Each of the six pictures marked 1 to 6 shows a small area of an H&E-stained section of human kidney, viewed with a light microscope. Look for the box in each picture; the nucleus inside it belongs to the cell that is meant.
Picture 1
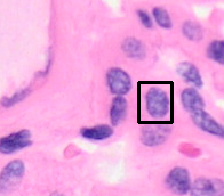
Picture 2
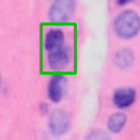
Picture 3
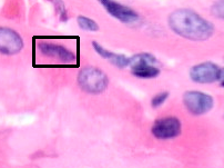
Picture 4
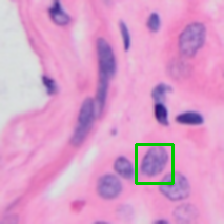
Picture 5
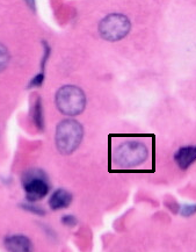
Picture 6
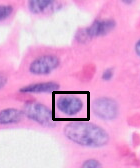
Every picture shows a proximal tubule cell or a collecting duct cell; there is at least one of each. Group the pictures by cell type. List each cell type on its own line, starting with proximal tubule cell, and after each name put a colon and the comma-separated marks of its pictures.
proximal tubule cell: 3, 5
collecting duct cell: 1, 2, 4, 6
